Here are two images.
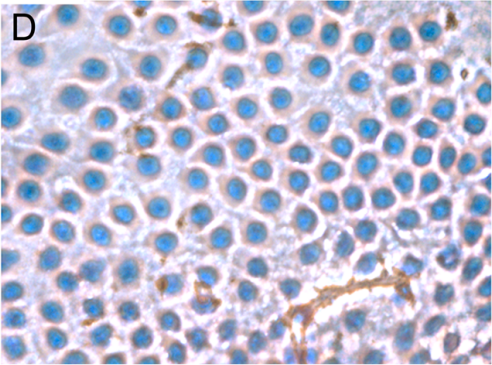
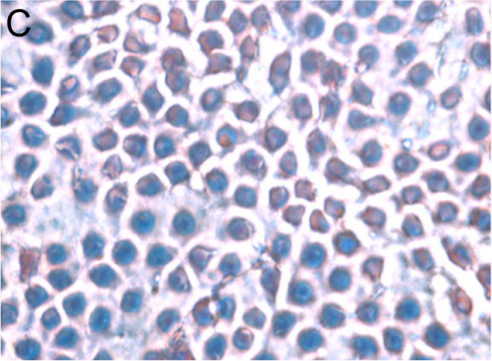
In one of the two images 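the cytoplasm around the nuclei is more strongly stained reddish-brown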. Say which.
The second image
